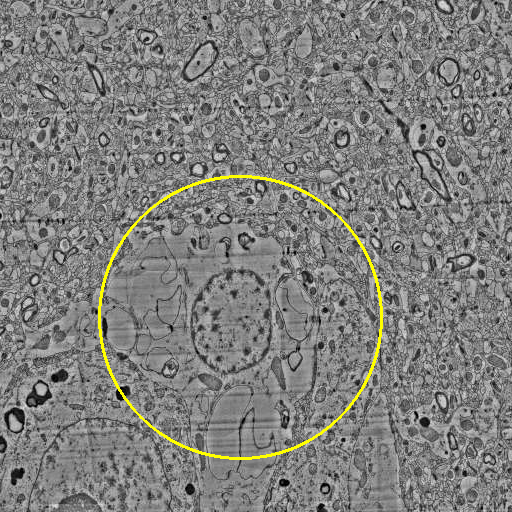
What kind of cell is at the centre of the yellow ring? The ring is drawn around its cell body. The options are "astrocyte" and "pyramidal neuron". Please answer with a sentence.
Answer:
The yellow ring marks the cell body of an astrocyte.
